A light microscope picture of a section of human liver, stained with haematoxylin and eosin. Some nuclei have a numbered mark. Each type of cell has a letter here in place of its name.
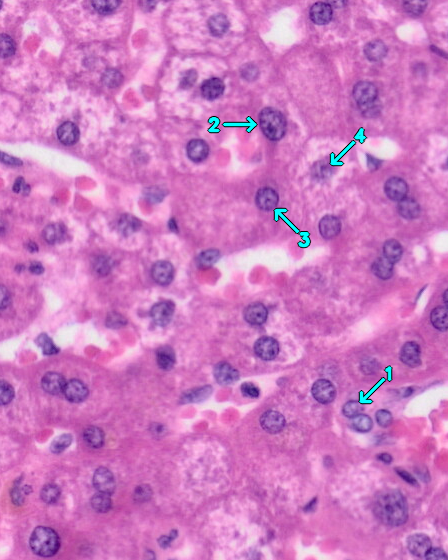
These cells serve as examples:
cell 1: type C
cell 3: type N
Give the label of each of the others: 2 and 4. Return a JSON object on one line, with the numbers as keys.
{"2": "type N", "4": "type N"}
